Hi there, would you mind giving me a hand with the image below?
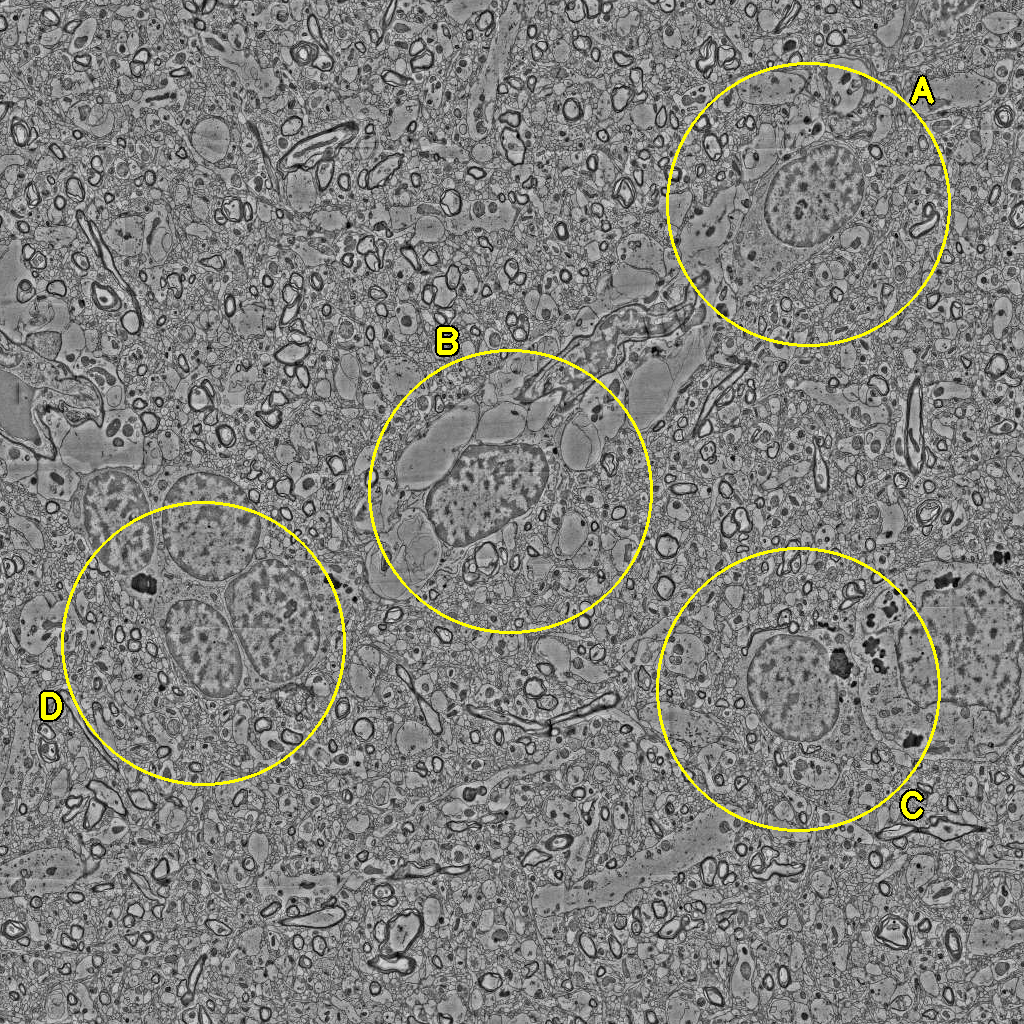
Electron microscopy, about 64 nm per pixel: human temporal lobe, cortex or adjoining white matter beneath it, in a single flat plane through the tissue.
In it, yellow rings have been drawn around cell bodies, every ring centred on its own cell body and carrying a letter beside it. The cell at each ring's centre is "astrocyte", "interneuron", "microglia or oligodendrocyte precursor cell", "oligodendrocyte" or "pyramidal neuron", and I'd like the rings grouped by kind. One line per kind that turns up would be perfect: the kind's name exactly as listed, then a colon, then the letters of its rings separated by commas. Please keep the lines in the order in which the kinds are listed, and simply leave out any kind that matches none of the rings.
microglia or oligodendrocyte precursor cell: B
oligodendrocyte: A, C, D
